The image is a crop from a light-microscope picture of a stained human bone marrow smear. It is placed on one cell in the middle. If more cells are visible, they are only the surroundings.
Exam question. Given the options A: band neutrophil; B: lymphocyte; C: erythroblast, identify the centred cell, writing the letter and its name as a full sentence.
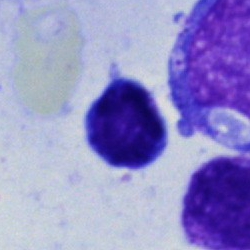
It is a lymphocyte that occupies the centre of the crop, so option B is correct.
